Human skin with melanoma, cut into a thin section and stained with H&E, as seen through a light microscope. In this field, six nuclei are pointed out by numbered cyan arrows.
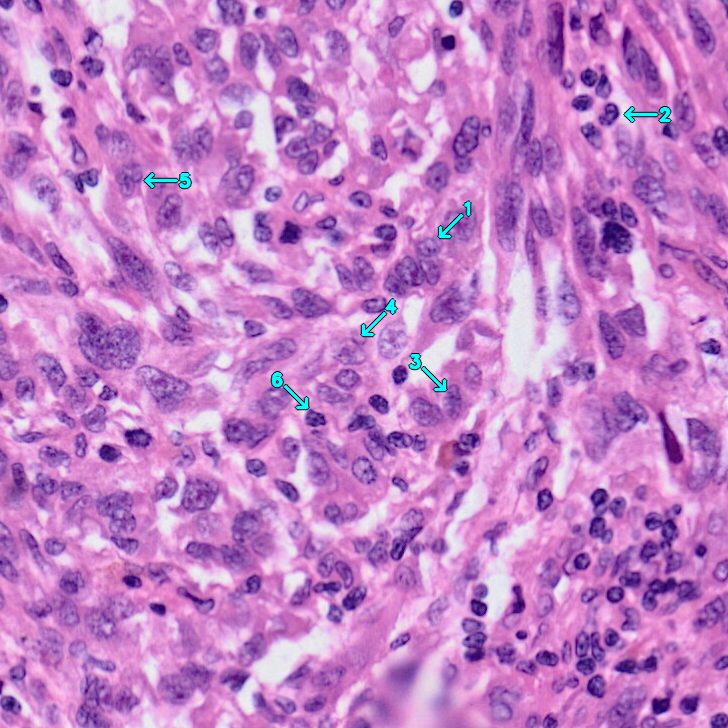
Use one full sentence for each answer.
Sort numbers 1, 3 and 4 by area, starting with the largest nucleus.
The nuclei rank 4, 3, 1, from largest to smallest.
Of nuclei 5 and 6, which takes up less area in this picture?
Nucleus 6 is the smaller one; nucleus 5 covers about 2 times its area.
